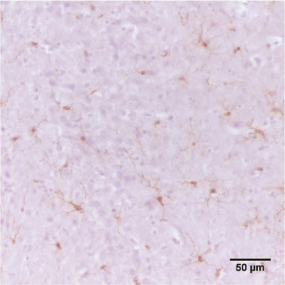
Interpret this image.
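The cells are scattered at intervals through the tissue, each with its own territory, and their processes appear relatively fine and sparse here. The surrounding tissue is pale, with faint outlines of other cell bodies that do not take up the brown stain.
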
